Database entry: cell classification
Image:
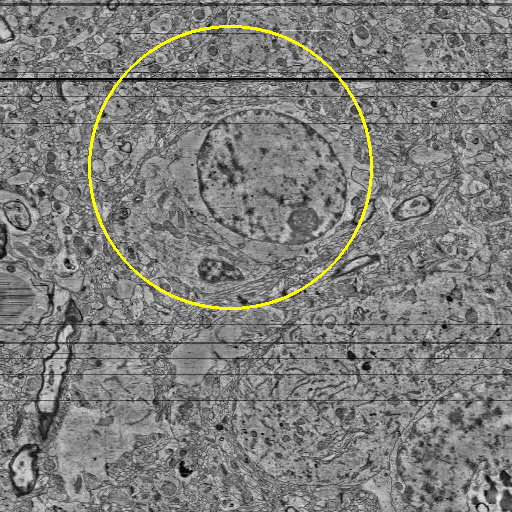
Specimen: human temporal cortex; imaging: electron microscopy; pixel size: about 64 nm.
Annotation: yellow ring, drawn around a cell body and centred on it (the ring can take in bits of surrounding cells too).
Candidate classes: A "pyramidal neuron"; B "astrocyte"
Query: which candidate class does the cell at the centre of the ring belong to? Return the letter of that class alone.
B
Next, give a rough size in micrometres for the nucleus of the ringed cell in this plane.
The nucleus measures about 10 by 8 micrometres in this plane.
